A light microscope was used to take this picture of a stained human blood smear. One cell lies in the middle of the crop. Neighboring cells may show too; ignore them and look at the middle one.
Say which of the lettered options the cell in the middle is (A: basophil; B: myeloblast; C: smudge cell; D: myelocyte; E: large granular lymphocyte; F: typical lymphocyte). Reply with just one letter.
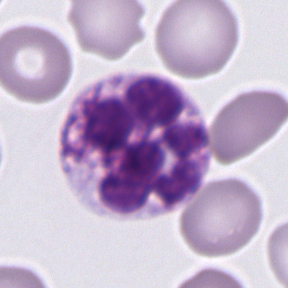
A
